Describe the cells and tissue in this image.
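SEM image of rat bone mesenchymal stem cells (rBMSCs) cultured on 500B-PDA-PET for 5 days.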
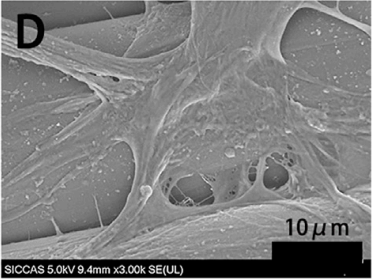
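The cell surface shows many fine, parallel fibrillar ridges and branching extensions radiating in several directions. Broad cytoplasmic sheets bridge the spaces between fibres, leaving only a few rounded holes where the layer thins. Slender filament-like processes reach out from the cell edges onto the adjacent fibre surfaces. The underlying fibres appear as smooth cylinders partly hidden beneath the cellular layer, and small particles dot the exposed surfaces.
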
